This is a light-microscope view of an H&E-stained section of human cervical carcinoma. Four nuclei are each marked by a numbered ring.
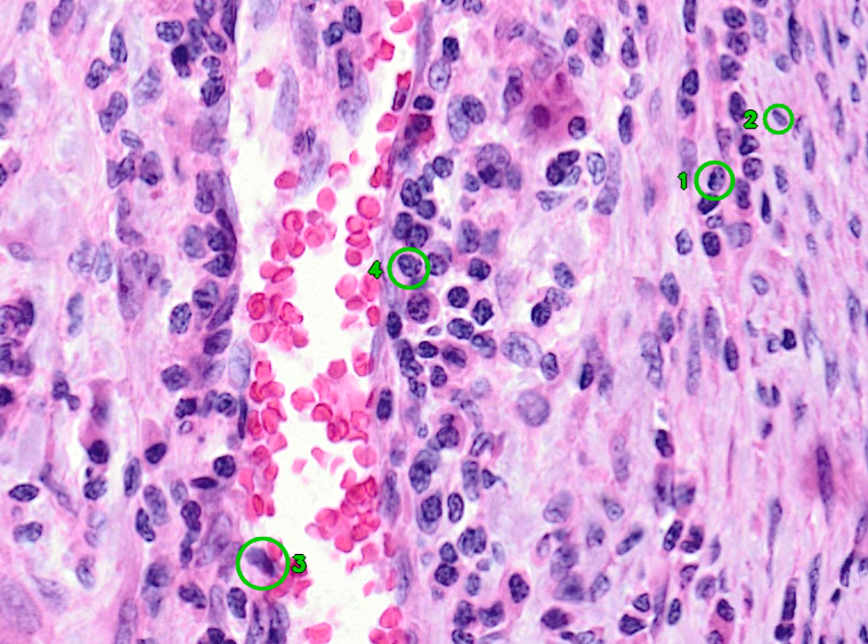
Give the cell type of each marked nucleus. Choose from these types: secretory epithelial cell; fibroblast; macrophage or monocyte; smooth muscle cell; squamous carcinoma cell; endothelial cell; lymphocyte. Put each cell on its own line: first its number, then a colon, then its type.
1: lymphocyte
2: fibroblast
3: endothelial cell
4: lymphocyte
